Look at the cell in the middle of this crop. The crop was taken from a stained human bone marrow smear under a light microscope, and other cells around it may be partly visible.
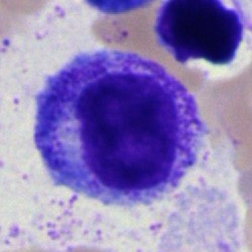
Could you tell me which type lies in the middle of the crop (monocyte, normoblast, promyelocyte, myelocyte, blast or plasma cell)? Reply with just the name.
myelocyte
